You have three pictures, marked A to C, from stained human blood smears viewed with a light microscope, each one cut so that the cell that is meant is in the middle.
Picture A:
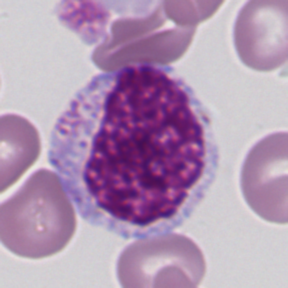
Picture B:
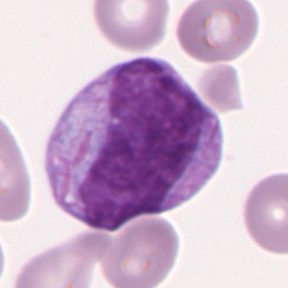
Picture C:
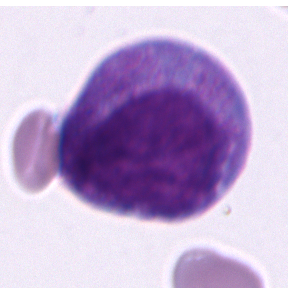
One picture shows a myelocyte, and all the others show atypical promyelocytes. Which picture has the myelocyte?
A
